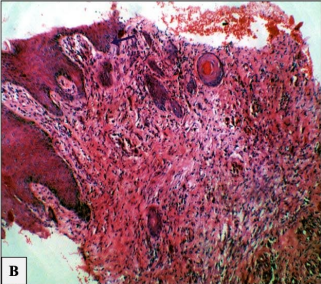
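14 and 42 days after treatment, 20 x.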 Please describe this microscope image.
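A thick, deeply stained surface epithelium is seen sending tongue-like projections down into an underlying cellular connective tissue. Within and beneath the epithelium lie round structures with concentric layering, and the connective tissue below holds many nuclei among reddish fibres. Blood lies on the surface at the top. This is epidermis re-covering the wound, growing down into the healing tissue.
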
